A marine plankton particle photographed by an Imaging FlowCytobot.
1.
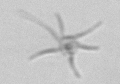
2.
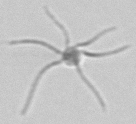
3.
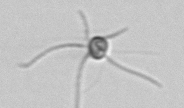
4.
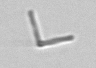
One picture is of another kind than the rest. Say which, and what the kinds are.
Picture 4 shows Nanoneis; the rest show Ophiaster.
